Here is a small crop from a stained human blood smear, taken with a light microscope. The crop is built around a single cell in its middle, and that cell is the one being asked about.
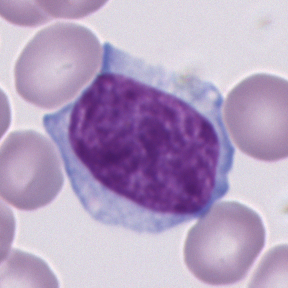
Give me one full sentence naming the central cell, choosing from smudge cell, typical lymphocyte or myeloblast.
Where the crop is centred, there is a myeloblast.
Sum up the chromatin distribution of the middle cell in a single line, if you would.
The chromatin within its nucleus forms coarse clumps.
